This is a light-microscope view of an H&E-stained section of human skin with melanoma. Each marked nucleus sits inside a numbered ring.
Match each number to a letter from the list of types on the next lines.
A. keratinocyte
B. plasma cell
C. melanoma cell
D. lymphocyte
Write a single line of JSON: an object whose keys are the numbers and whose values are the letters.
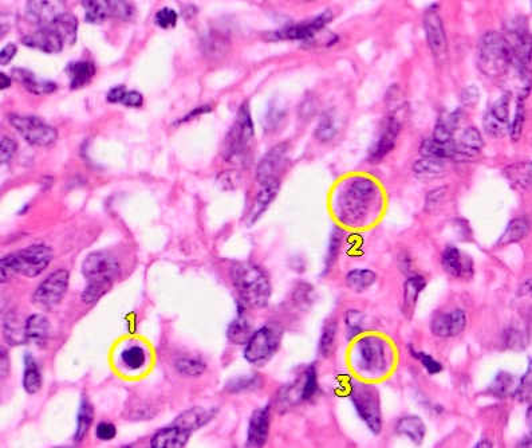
{"1": "D", "2": "C", "3": "C"}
